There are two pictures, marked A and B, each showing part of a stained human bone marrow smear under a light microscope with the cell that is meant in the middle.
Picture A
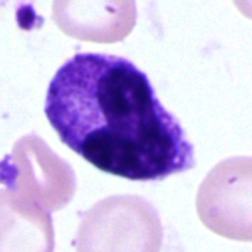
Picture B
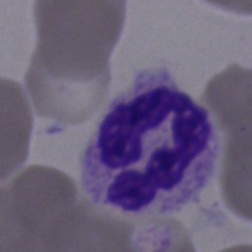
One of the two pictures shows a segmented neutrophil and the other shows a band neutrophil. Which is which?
A: band neutrophil
B: segmented neutrophil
